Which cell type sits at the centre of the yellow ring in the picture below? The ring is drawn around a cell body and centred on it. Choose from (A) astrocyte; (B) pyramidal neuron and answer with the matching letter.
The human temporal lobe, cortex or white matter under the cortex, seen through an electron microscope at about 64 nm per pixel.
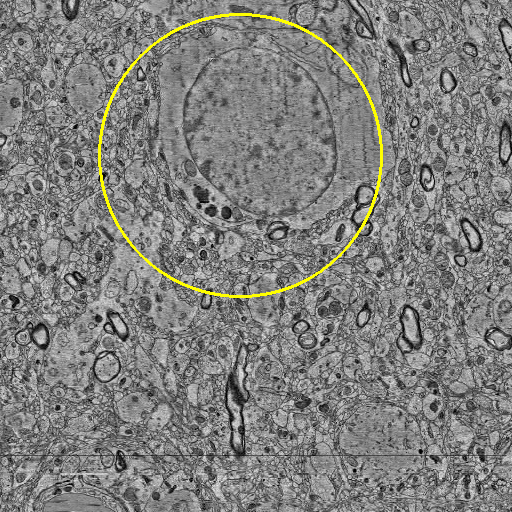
A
